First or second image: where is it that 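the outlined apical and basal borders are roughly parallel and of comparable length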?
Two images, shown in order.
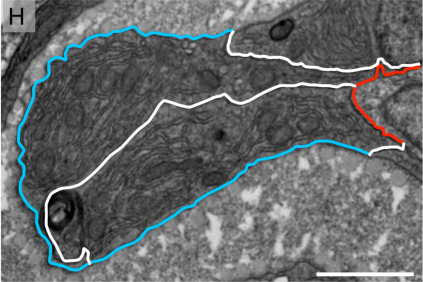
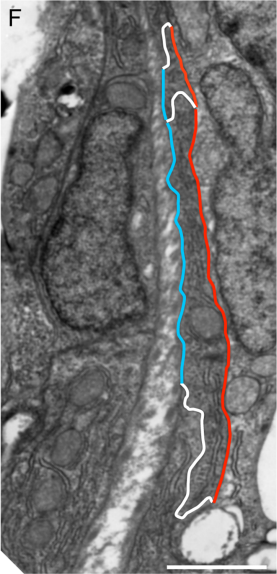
the second image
